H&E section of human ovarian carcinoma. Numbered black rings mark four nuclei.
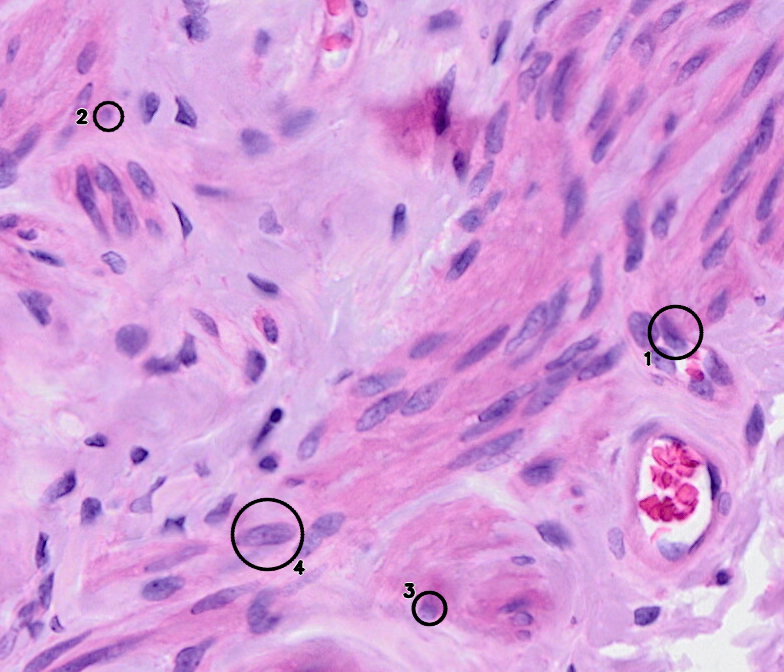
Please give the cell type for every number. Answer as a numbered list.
1. endothelial cell
2. smooth muscle cell
3. smooth muscle cell
4. smooth muscle cell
